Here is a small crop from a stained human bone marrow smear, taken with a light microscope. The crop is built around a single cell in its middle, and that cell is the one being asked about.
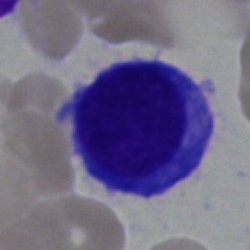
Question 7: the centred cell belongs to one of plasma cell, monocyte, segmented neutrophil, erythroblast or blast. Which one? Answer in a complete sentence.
The cell of interest, located centrally, is a plasma cell.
